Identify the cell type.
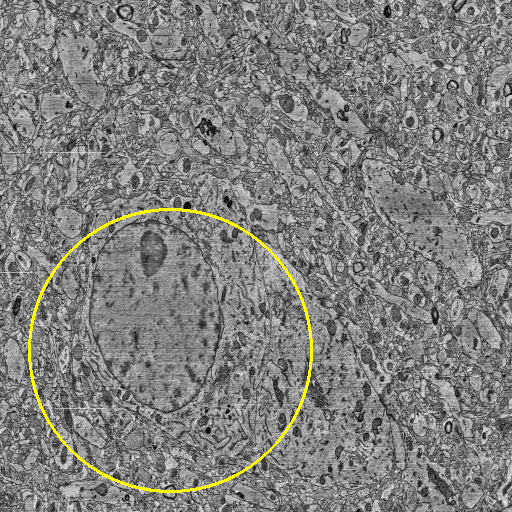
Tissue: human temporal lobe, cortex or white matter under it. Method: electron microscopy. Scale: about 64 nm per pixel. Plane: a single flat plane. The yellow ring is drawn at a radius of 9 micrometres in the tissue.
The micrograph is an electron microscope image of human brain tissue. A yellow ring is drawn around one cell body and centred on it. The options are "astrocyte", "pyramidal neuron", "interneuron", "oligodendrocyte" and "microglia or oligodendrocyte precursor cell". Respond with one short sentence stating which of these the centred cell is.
The cell body in the ring belongs to a pyramidal neuron.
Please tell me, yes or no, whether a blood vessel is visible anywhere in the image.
No.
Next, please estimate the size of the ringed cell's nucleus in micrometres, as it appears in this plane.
The ringed cell's nucleus measures approximately 13 by 9 micrometres in this plane.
